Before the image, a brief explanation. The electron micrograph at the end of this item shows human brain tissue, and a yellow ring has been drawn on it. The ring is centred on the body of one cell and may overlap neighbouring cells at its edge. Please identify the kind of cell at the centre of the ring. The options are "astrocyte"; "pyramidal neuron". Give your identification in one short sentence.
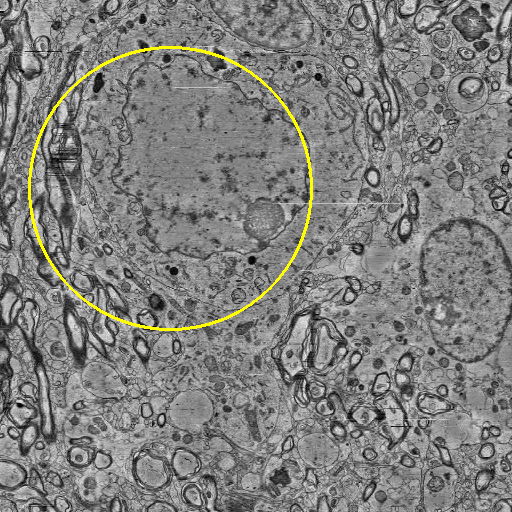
The ring has been placed around a pyramidal neuron.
